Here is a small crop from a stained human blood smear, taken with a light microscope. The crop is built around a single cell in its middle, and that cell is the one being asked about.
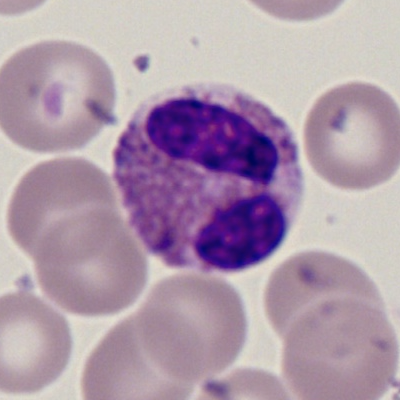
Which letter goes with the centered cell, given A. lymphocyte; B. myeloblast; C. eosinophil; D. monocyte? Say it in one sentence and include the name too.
The middle of the crop contains an eosinophil, so option C is right.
